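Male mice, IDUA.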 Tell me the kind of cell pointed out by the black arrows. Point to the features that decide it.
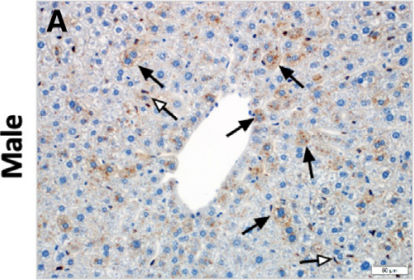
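Arrowed cells are large polygonal cells with round central nuclei. They lie in plates around a central vessel. Their cytoplasm holds granular brown stain. The answer: hepatocytes.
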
